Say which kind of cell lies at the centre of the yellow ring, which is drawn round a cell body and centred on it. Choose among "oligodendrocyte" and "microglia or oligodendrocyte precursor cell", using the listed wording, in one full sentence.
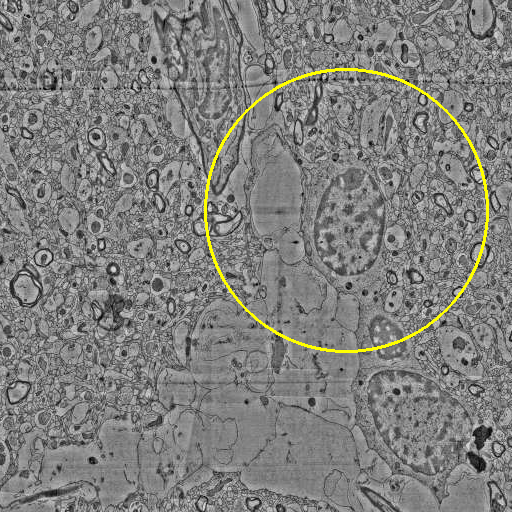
Going by the list, the cell at the yellow ring's centre is an oligodendrocyte.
